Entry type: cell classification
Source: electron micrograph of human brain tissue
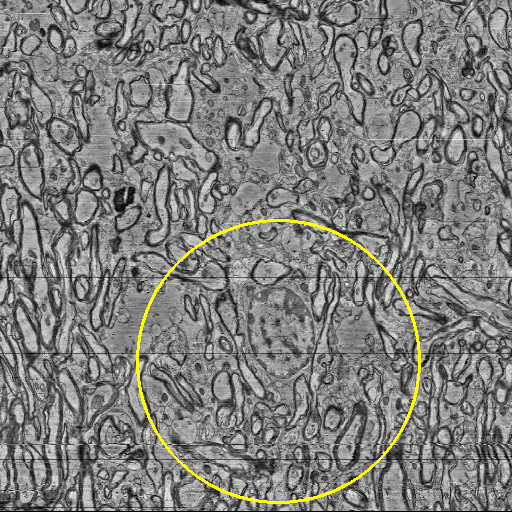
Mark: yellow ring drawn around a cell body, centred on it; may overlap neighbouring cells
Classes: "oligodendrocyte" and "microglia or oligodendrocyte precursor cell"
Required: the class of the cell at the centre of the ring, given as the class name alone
oligodendrocyte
